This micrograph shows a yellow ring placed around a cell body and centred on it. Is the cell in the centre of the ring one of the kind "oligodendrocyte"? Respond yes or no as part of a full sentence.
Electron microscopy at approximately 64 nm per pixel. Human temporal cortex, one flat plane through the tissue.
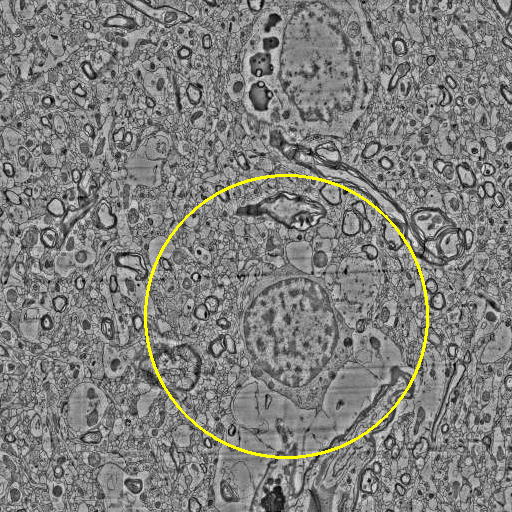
Yes, the cell in the centre of the ring within the picture is one of that kind.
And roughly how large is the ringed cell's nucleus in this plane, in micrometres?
In this plane, roughly 6 micrometres across.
